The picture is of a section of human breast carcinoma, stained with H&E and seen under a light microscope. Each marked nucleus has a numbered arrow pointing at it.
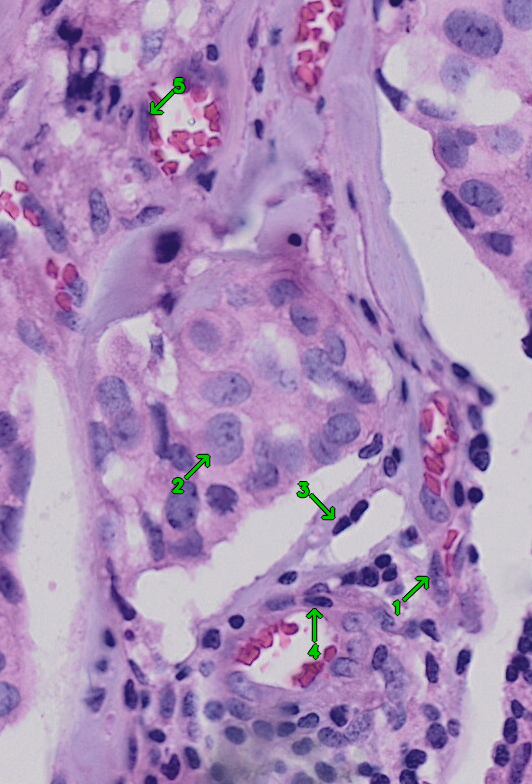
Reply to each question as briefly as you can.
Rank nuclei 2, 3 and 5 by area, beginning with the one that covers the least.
3, 5, 2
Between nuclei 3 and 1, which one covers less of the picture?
3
